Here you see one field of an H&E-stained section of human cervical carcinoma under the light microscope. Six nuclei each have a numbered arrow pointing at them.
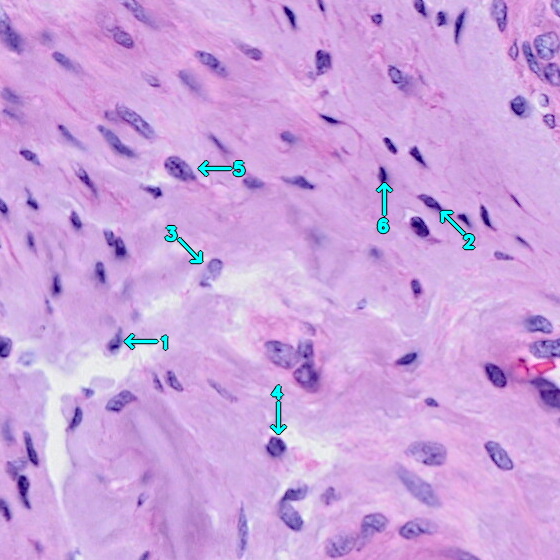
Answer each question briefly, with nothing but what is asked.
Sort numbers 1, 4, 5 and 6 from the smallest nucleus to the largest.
6, 1, 4, 5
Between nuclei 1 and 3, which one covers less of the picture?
1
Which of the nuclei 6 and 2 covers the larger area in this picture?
2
